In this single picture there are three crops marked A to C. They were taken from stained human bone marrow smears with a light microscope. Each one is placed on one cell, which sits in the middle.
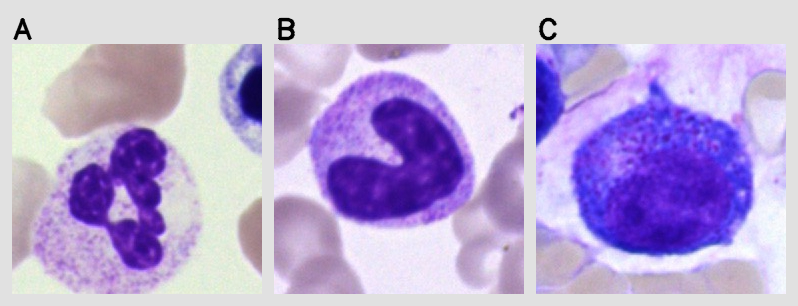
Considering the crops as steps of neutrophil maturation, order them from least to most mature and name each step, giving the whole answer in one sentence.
Moving up in maturity, the order goes crop C (a promyelocyte), crop B (a band neutrophil) and crop A (a segmented neutrophil).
